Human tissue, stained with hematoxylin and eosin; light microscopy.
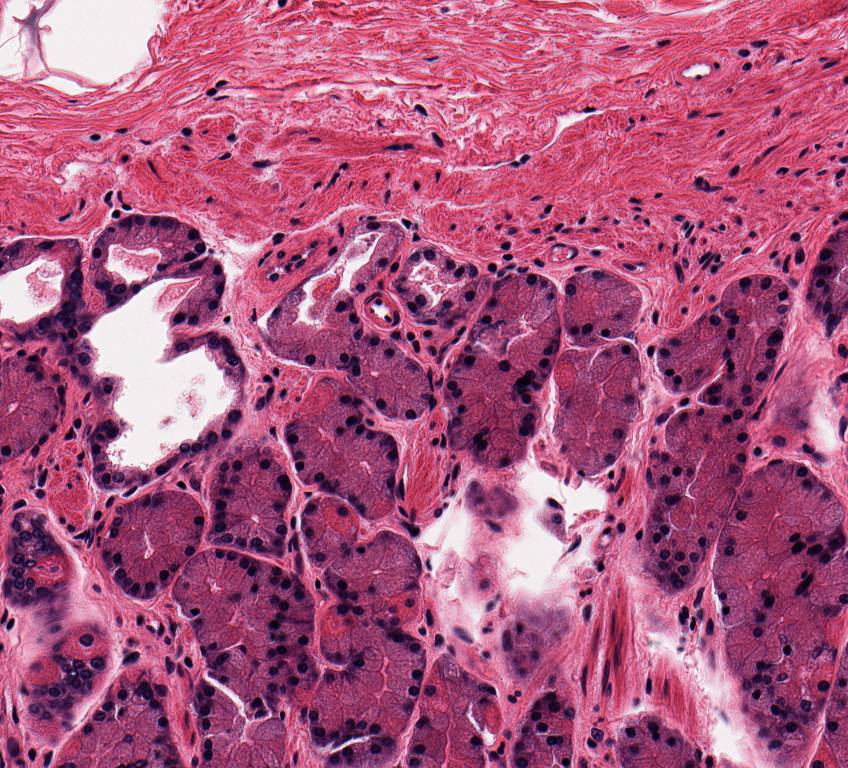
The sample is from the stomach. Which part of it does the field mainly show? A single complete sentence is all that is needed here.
The tissue part this section presents is named fundic glands.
